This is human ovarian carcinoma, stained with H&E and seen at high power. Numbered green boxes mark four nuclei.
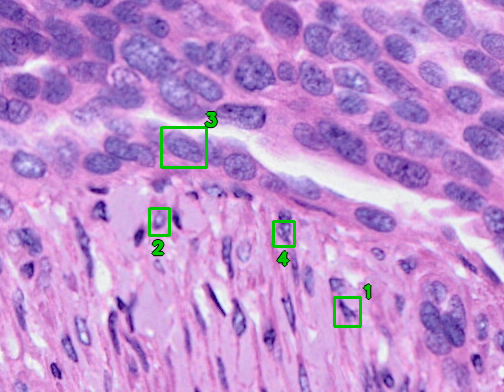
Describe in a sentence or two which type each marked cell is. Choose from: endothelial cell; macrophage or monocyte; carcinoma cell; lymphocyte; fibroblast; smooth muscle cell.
Cells 1, 2 and 4 are fibroblasts. Cell 3 is a carcinoma cell.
